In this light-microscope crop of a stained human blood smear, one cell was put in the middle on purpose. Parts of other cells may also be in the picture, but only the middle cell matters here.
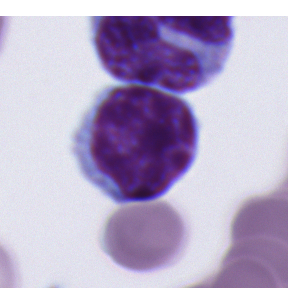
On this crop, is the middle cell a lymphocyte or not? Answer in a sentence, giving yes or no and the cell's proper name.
Yes, the cell positioned in the middle is a lymphocyte.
